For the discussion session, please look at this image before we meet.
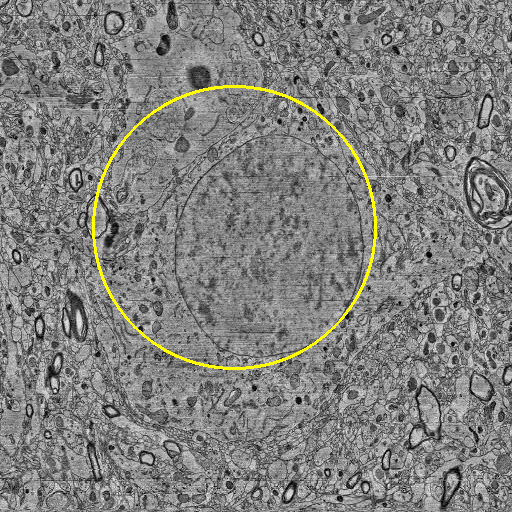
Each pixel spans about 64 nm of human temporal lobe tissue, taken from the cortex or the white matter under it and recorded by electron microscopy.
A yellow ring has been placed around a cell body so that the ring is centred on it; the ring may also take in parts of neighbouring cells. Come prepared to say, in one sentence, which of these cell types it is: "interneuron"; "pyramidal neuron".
The cell centred in the ring is a pyramidal neuron.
